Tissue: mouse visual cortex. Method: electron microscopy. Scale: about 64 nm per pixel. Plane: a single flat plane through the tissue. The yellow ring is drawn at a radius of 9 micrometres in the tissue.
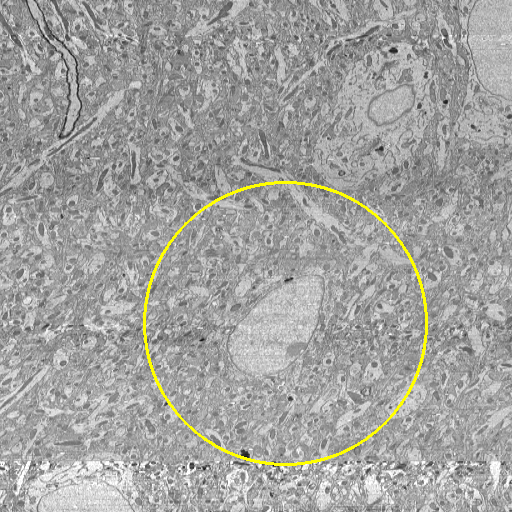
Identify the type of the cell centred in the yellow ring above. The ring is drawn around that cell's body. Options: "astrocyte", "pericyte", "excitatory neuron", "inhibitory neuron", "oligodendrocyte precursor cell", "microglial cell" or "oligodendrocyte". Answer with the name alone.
astrocyte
